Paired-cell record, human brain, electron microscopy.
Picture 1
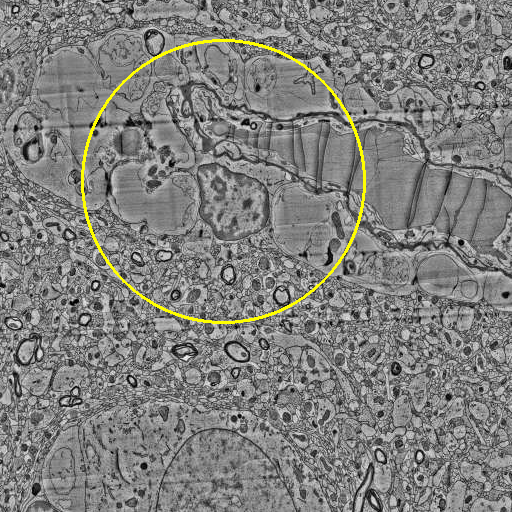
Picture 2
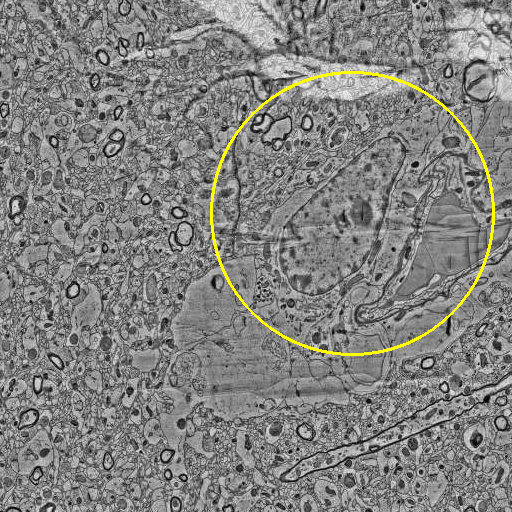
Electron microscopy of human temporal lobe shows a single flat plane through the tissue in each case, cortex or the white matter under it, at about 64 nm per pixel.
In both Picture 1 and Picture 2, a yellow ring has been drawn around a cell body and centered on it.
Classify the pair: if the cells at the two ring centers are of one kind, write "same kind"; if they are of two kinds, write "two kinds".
same kind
